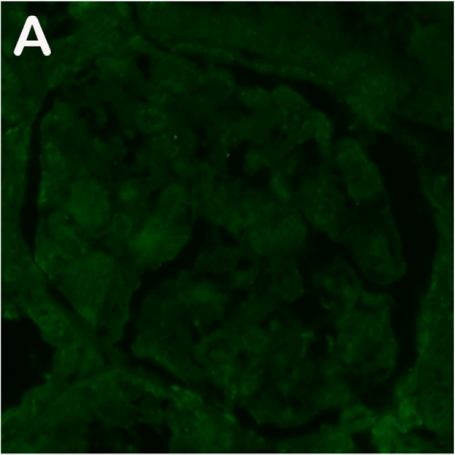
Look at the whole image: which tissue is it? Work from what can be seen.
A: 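Glomeruli. A rounded tuft of closely packed cells fills the centre. A thin dark space and capsule line encircle the tuft.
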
